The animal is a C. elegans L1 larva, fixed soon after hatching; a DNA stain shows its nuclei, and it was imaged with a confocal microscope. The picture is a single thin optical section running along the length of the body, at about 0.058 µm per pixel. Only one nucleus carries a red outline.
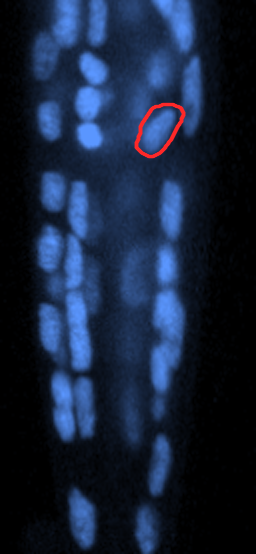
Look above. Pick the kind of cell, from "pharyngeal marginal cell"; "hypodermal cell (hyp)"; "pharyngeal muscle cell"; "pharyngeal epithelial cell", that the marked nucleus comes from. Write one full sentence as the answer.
The marked nucleus is that of a pharyngeal marginal cell.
